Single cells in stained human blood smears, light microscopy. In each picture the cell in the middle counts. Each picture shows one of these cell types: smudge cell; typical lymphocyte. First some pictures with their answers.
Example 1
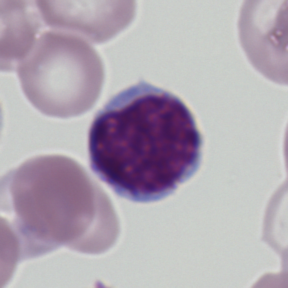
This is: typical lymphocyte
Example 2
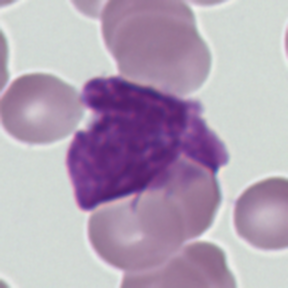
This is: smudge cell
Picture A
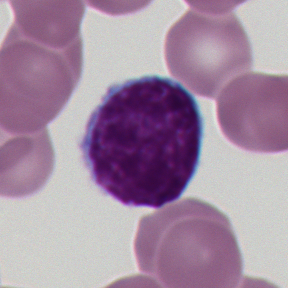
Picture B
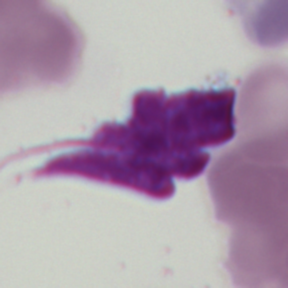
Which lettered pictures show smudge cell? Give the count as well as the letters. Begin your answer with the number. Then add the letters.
1: B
